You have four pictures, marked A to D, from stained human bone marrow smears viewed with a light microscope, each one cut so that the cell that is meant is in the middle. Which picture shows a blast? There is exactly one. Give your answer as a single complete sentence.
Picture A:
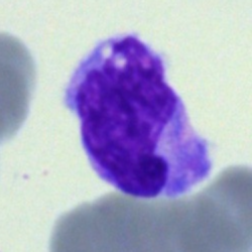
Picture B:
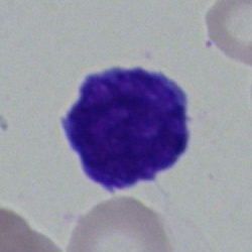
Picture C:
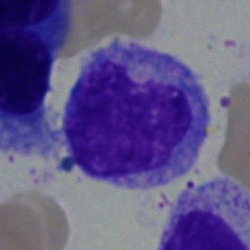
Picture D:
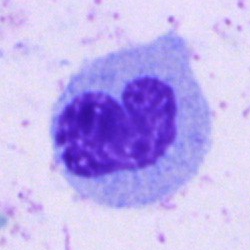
It is picture B that shows the blast.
